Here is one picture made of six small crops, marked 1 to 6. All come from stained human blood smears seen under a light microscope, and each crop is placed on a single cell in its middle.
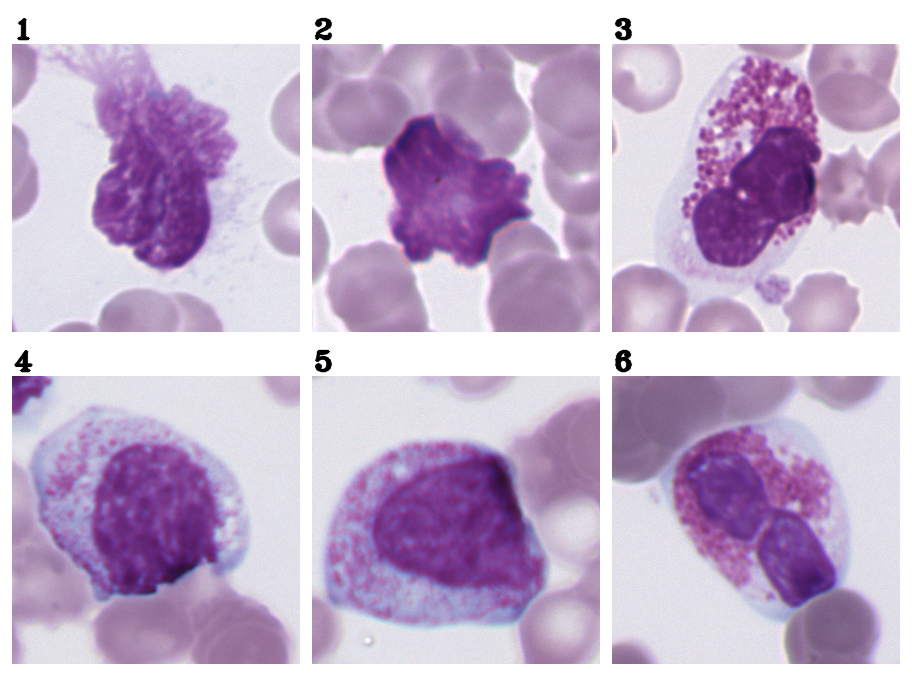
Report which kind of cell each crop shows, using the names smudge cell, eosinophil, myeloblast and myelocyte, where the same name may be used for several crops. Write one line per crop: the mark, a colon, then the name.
1: smudge cell
2: smudge cell
3: eosinophil
4: myelocyte
5: myelocyte
6: eosinophil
